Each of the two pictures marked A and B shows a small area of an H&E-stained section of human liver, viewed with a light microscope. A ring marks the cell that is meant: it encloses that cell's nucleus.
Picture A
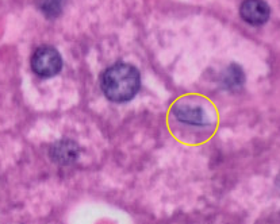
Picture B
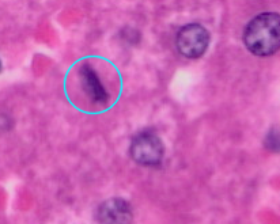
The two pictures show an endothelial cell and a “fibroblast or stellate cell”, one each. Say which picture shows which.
A: endothelial cell
B: fibroblast or stellate cell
